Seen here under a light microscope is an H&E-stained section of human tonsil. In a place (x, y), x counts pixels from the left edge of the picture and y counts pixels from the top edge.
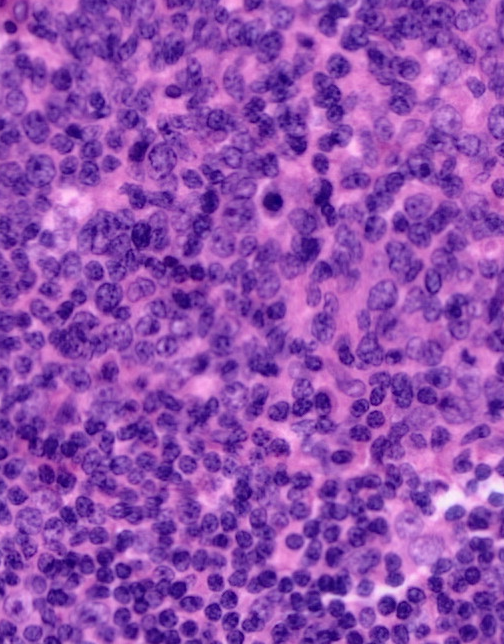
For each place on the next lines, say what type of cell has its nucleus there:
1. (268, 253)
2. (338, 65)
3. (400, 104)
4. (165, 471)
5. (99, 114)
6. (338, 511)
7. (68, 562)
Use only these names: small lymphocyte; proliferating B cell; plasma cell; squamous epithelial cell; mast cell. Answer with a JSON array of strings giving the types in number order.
["proliferating B cell", "proliferating B cell", "proliferating B cell", "small lymphocyte", "proliferating B cell", "small lymphocyte", "small lymphocyte"]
